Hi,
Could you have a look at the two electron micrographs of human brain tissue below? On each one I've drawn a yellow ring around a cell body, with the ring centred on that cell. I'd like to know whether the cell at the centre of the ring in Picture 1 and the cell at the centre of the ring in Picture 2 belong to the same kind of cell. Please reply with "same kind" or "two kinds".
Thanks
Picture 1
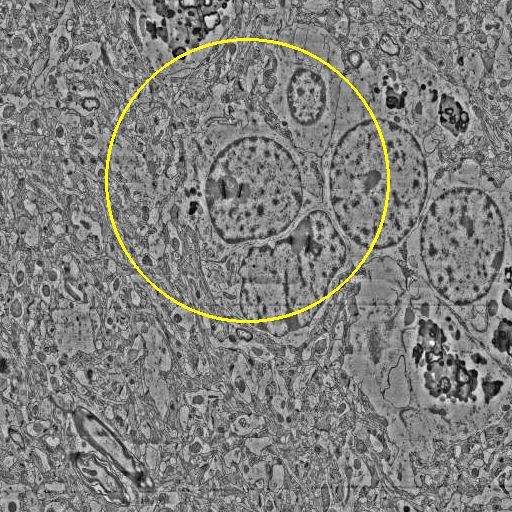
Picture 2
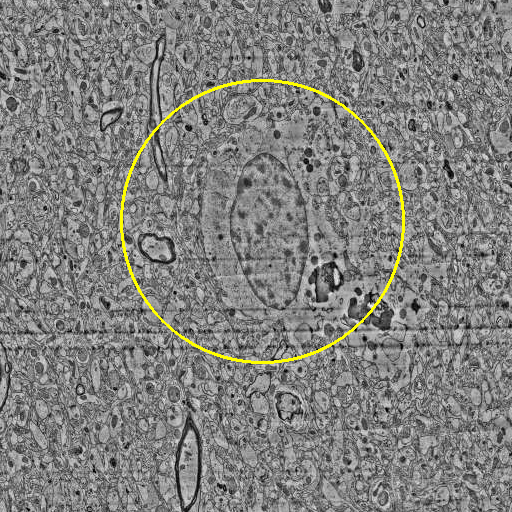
same kind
